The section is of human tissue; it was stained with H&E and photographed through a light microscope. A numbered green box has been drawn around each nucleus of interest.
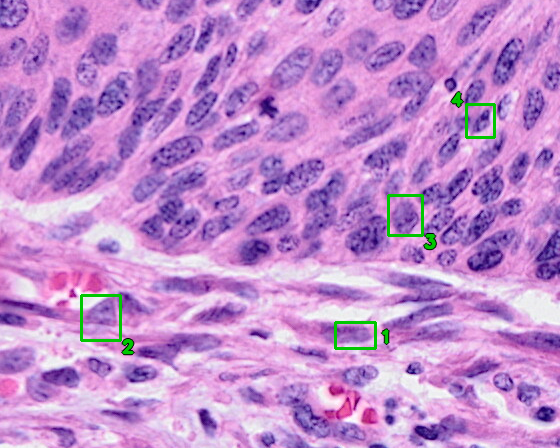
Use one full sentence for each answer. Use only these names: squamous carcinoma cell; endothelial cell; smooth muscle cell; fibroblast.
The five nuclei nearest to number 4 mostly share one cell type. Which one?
Most of the five nuclei nearest to number 4 are those of squamous carcinoma cells.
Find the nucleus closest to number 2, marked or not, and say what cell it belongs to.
It is a fibroblast whose nucleus is nearest to number 2.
